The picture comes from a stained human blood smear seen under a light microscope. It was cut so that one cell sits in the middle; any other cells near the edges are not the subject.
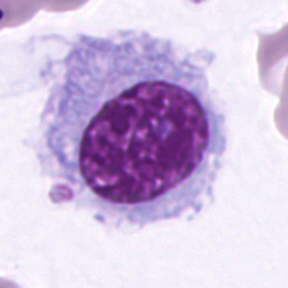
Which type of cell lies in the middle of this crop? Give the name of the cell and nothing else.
plasma cell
